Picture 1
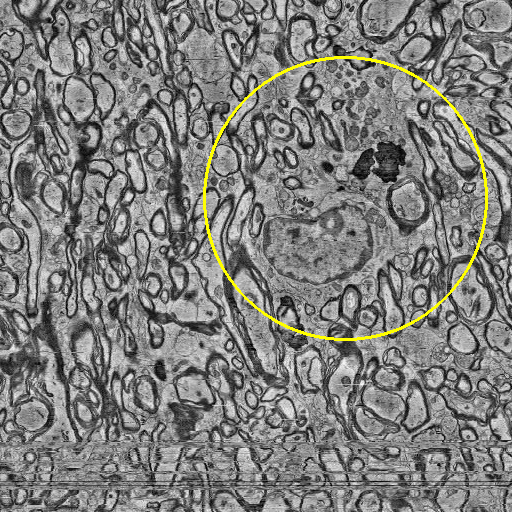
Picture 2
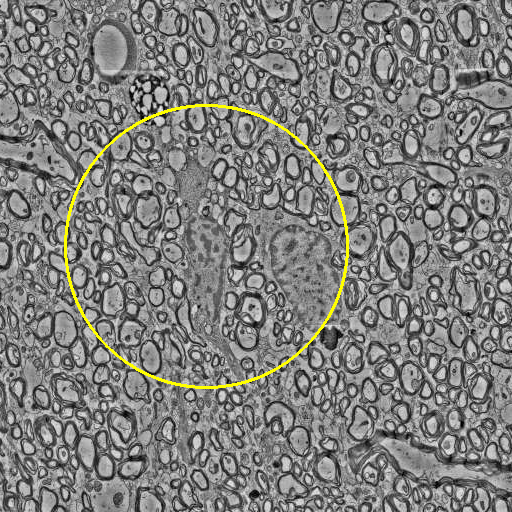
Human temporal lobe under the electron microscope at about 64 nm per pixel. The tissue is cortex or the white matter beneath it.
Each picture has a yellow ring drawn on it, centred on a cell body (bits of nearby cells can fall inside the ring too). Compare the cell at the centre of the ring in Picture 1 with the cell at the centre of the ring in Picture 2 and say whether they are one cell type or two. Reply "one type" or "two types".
two types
